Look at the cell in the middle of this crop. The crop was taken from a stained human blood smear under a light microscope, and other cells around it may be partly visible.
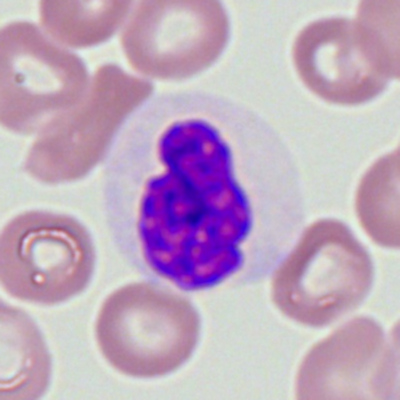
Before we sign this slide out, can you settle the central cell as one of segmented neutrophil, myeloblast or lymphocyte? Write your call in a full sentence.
Whatever else lies nearby, the middle cell is a segmented neutrophil.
